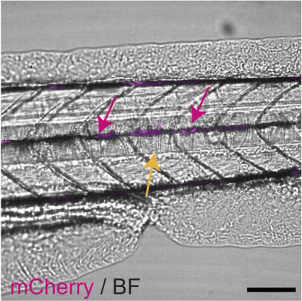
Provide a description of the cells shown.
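A lateral view of the larval trunk shows chevron-shaped muscle segments crossed by dark horizontal pigment stripes. Melanocytes lie along these stripes, appearing as elongated dark cells overlapping with magenta fluorescence. The fin fold is visible as a pale translucent sheet at the bottom of the image.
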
